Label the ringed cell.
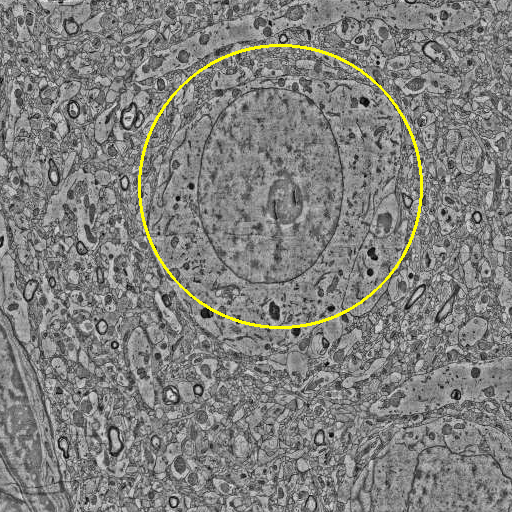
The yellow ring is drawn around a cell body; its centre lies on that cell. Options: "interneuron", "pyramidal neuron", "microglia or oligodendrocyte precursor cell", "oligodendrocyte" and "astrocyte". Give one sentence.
The ringed cell is a pyramidal neuron.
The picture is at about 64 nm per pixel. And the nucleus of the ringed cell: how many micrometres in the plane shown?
The nucleus has a long axis of about 13 micrometres and a short axis of about 9 micrometres in this plane.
